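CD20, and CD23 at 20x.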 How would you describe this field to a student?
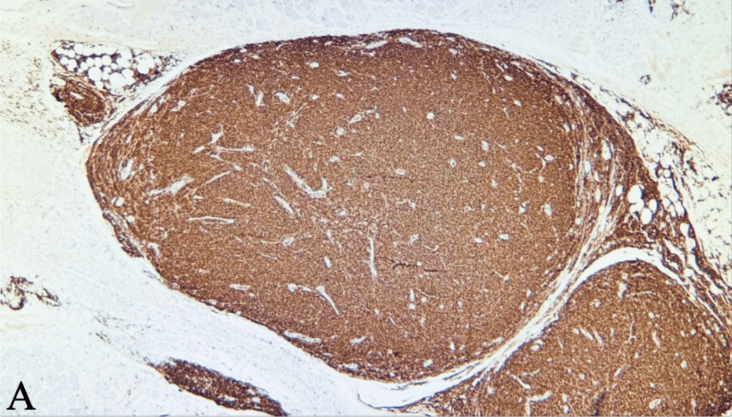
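A rounded nodule of densely packed lymphoid cells lies within fibrous and fatty tissue, its cells stained a strong, even brown throughout. Small pale slits and branching channels of blood vessels interrupt the brown field. A thin pale fibrous capsule borders the nodule, and part of a second stained nodule lies at the lower right. Smaller brown cell clusters sit in the adjacent adipose tissue at the upper left and lower edge, while the surrounding collagen and fat remain unstained.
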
